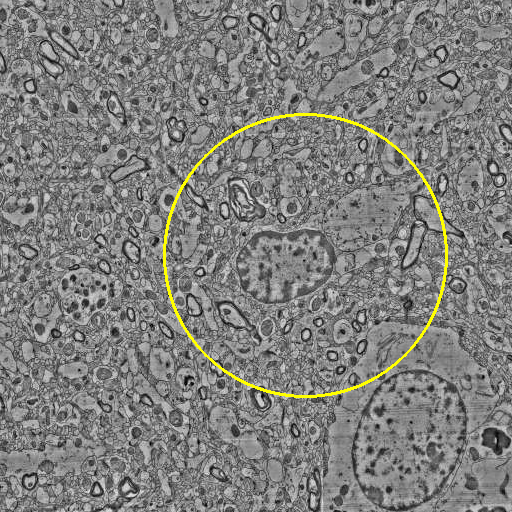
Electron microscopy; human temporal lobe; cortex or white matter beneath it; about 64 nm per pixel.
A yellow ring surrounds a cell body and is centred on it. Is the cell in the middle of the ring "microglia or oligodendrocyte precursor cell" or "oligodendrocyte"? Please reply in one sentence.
The ring is centred on a microglial cell or oligodendrocyte precursor cell.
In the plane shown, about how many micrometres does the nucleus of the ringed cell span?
In this plane the nucleus is about 6 micrometres by 5.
